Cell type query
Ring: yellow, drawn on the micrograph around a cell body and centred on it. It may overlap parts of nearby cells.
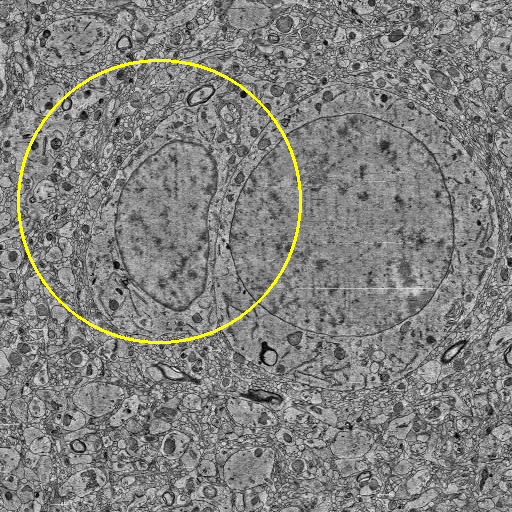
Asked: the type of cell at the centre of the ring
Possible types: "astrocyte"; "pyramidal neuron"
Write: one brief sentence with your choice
The ring marks a pyramidal neuron.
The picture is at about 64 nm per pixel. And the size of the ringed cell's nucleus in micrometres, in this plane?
Clearly longer than it is wide in this plane, the nucleus measures roughly 11 by 7 micrometres.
